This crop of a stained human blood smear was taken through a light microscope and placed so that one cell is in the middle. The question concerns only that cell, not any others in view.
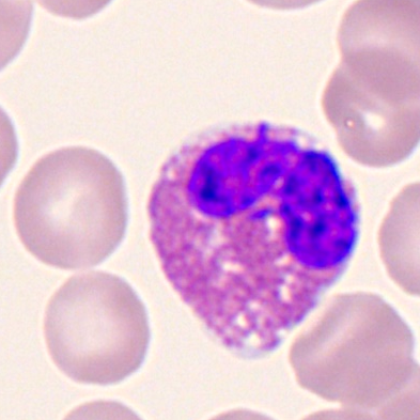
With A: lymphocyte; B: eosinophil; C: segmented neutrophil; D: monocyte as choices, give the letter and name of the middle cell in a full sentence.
In the middle of the crop is an eosinophil; option B is therefore correct.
